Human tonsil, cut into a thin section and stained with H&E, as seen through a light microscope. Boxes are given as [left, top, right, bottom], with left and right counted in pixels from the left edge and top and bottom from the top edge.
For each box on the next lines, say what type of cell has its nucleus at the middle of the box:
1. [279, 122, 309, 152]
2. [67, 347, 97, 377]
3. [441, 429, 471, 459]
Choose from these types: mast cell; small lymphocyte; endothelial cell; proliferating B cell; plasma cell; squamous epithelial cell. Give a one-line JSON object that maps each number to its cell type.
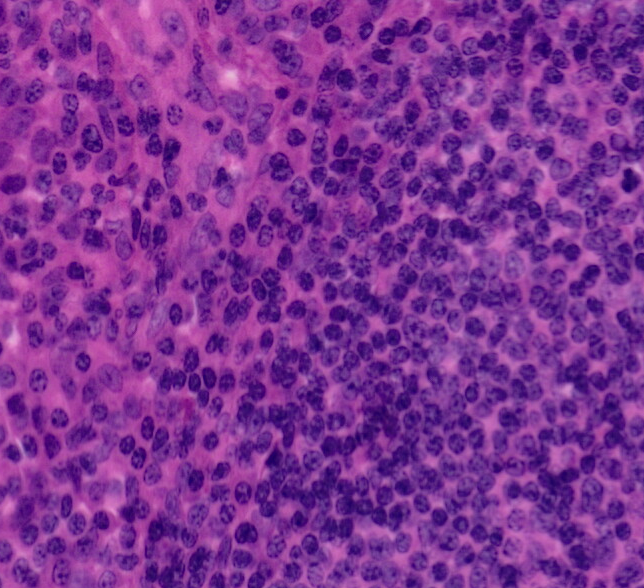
{"1": "plasma cell", "2": "plasma cell", "3": "small lymphocyte"}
